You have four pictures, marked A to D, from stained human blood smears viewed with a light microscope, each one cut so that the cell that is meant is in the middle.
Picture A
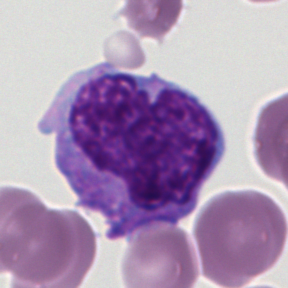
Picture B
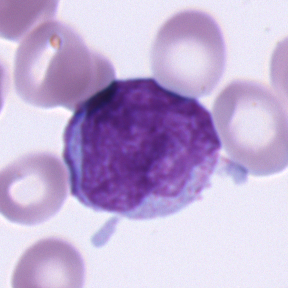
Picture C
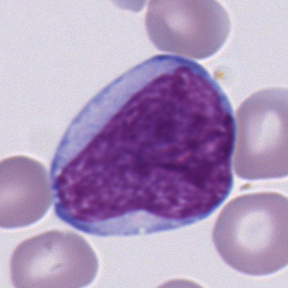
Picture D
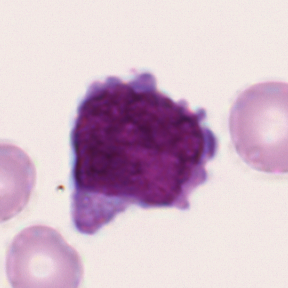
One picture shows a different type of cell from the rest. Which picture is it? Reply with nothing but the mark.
C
